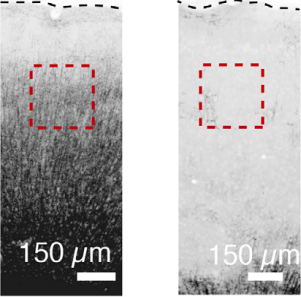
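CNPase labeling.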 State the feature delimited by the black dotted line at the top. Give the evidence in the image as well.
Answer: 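A dotted line runs along the upper edge of both tissue sections. Above the line there is no labeled tissue.
Answer: cortex surface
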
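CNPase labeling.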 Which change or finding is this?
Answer: near complete demyelination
